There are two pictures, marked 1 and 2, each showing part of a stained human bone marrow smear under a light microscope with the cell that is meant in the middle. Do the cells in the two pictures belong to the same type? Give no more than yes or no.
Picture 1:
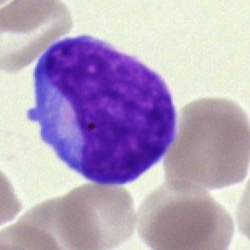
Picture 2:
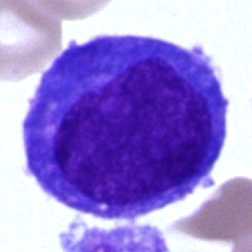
yes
